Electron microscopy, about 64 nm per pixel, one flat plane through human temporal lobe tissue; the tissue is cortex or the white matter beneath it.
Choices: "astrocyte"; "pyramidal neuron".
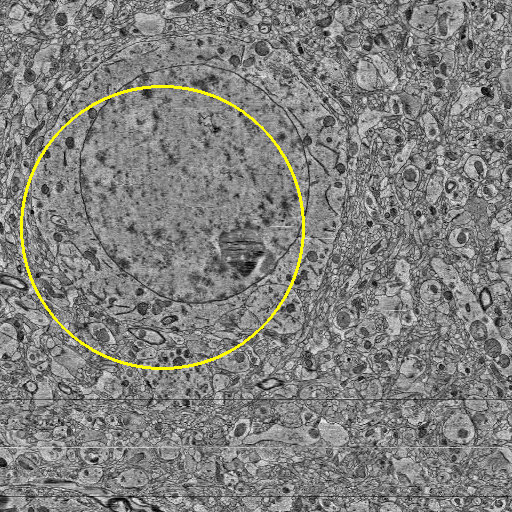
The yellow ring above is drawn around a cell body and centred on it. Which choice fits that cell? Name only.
pyramidal neuron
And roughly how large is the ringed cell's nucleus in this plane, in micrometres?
Roughly 15 micrometers across in this plane.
